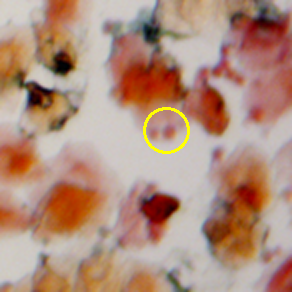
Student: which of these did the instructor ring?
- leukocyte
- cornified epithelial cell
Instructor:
The cell I ringed is a leukocyte.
